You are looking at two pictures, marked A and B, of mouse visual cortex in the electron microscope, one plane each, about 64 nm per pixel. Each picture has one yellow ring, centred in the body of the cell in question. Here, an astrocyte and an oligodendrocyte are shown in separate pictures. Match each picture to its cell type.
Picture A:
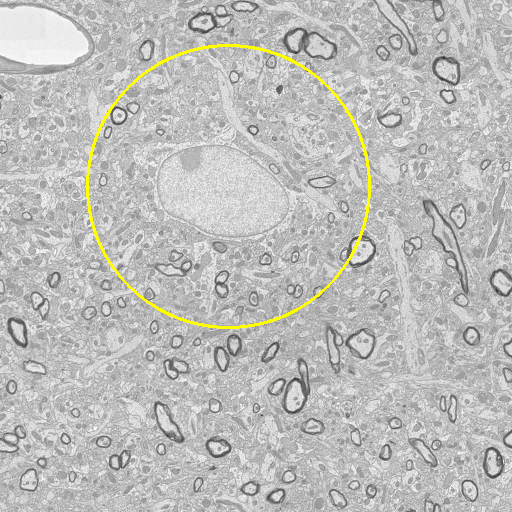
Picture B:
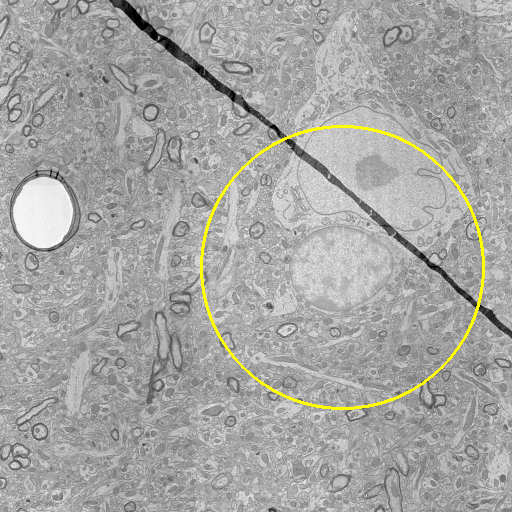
The cell in picture A is an astrocyte, and the one in picture B is an oligodendrocyte.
